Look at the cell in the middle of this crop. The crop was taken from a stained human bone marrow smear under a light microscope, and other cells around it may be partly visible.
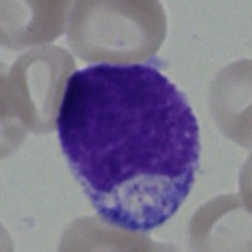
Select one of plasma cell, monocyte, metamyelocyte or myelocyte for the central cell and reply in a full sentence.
The cell of interest, in the center, is a myelocyte.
